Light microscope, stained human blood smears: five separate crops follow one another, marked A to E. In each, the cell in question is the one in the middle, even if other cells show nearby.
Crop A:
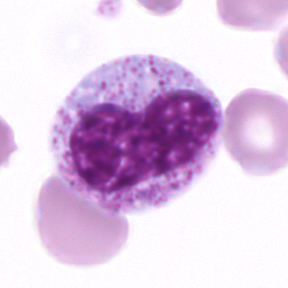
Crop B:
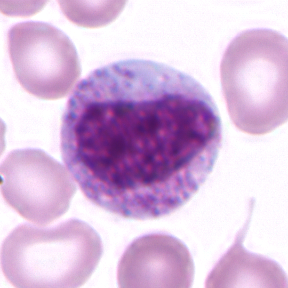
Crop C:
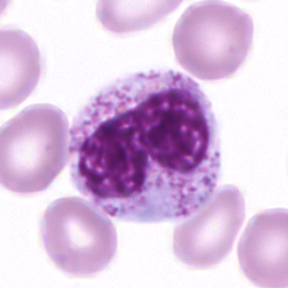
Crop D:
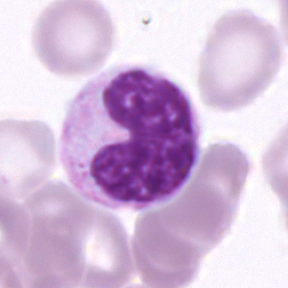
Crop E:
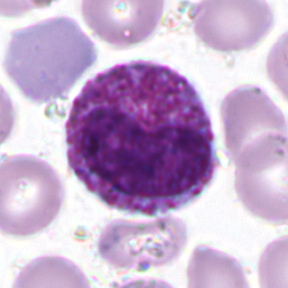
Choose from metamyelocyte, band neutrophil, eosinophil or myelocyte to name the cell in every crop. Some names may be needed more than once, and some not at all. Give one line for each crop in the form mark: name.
A: band neutrophil
B: metamyelocyte
C: band neutrophil
D: metamyelocyte
E: eosinophil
